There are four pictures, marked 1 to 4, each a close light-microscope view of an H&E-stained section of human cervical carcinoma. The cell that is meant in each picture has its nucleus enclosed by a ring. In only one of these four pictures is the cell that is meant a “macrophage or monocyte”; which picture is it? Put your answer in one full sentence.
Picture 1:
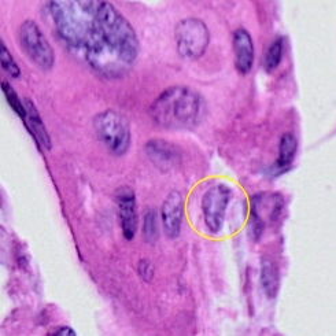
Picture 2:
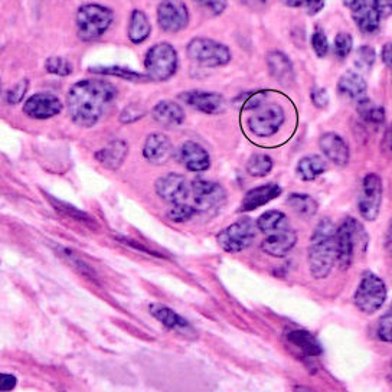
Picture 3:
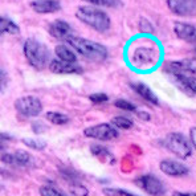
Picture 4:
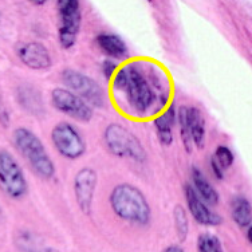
It is picture 1 that shows the “macrophage or monocyte”.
